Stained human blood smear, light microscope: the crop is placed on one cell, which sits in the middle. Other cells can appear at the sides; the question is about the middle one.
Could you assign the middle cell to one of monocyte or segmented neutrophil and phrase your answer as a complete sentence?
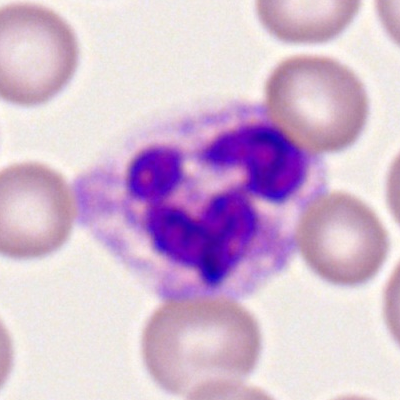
The centrally located cell in the crop is a segmented neutrophil.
